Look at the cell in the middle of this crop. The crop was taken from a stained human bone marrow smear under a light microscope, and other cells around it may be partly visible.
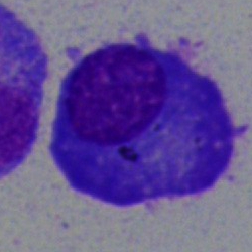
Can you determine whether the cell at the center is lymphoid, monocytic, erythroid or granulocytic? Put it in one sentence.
The cell in the middle of the crop belongs to the lymphoid lineage.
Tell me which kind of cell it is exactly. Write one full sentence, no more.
The centrally positioned cell in the crop represents a plasma cell.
